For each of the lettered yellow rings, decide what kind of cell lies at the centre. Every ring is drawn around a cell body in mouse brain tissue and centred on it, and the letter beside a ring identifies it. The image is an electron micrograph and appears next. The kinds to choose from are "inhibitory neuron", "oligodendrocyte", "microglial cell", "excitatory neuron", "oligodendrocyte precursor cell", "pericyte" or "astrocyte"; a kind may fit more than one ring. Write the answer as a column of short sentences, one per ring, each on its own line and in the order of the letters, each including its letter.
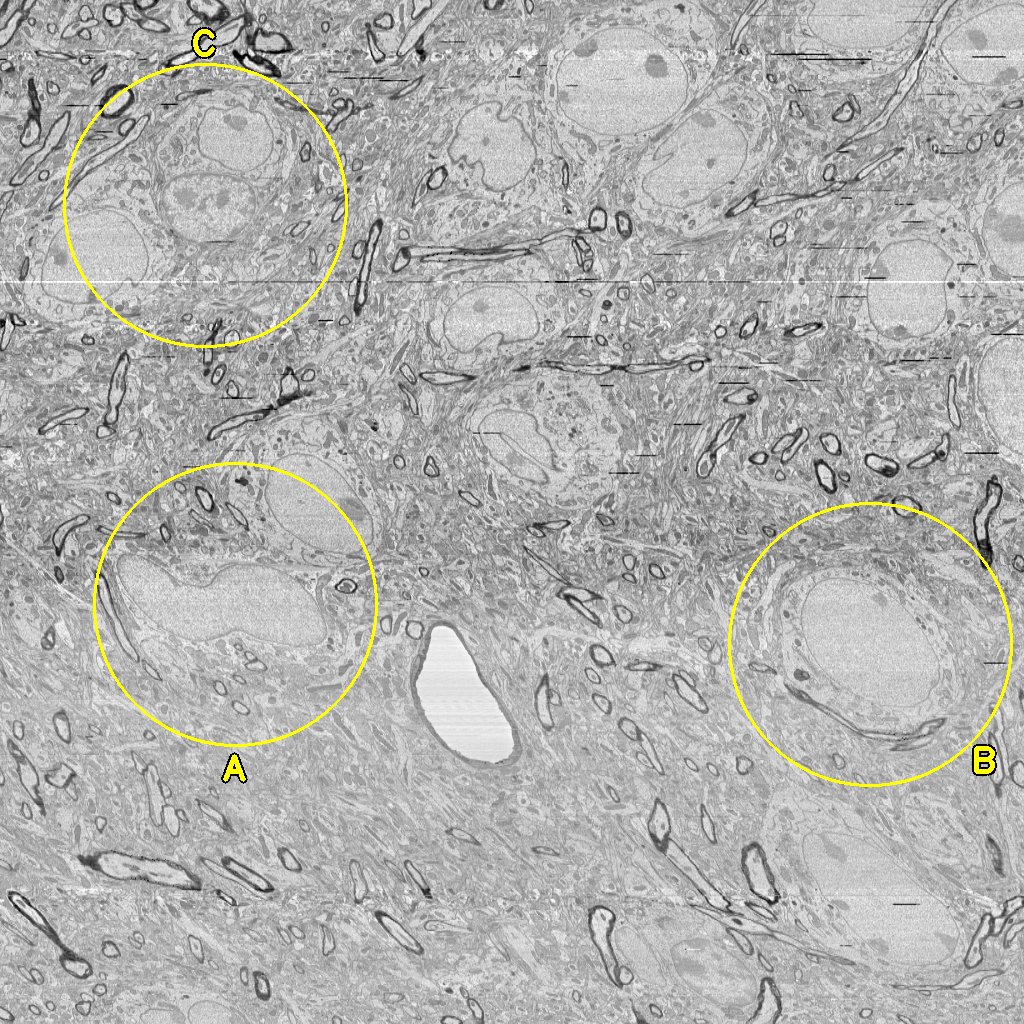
In the centre of ring A lies an astrocyte.
In the centre of ring B lies an excitatory neuron.
In the centre of ring C lies an oligodendrocyte.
